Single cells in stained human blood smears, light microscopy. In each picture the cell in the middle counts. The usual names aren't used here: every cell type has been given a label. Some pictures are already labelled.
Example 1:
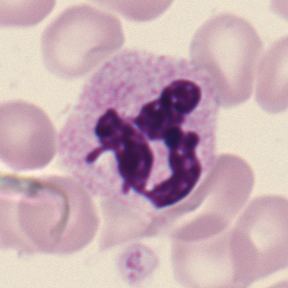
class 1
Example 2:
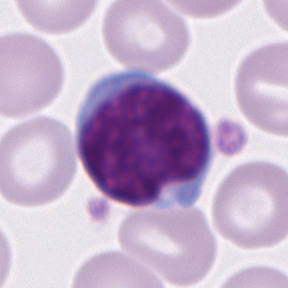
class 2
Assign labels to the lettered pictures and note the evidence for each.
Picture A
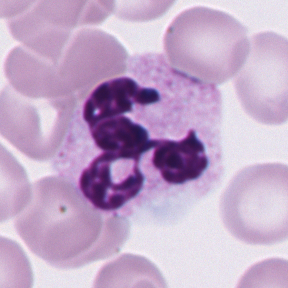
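class 1. The nucleus is split into at least four separate lobes.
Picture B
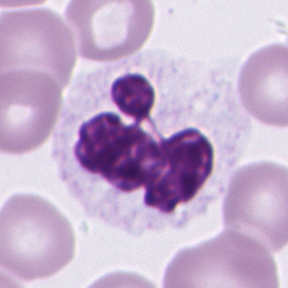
class 1. The cytoplasm is plentiful and very pale pinkish-grey.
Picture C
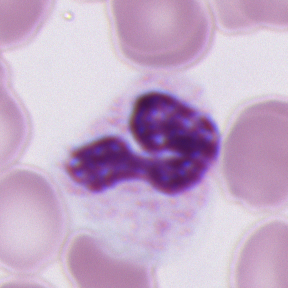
class 1. The nucleus has two lobes joined by a broad strand of chromatin.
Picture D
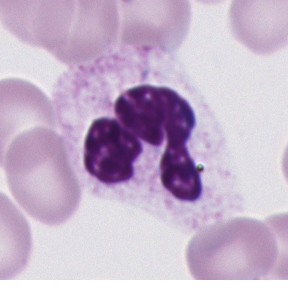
class 1. The nucleus is made up of three lobes.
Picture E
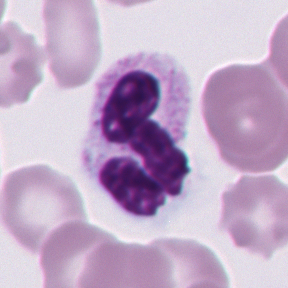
class 1. The nucleus is divided into three lobes.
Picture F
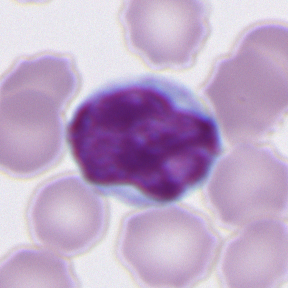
class 2. The nucleus fills most of the cell.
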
